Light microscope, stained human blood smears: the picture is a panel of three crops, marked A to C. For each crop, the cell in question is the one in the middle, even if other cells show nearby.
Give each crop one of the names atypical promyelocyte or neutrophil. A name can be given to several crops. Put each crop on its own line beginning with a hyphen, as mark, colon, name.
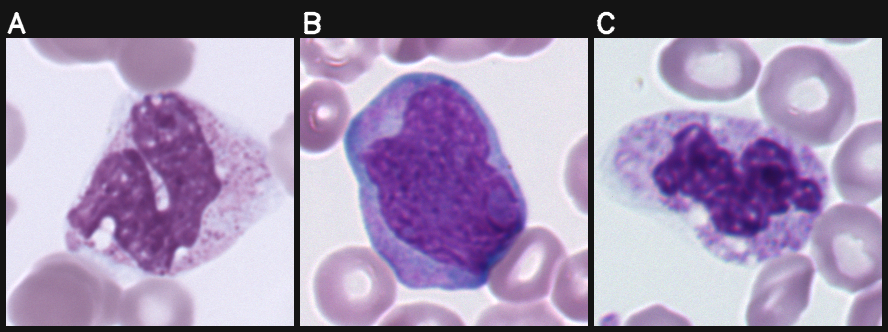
- A: neutrophil
- B: atypical promyelocyte
- C: neutrophil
